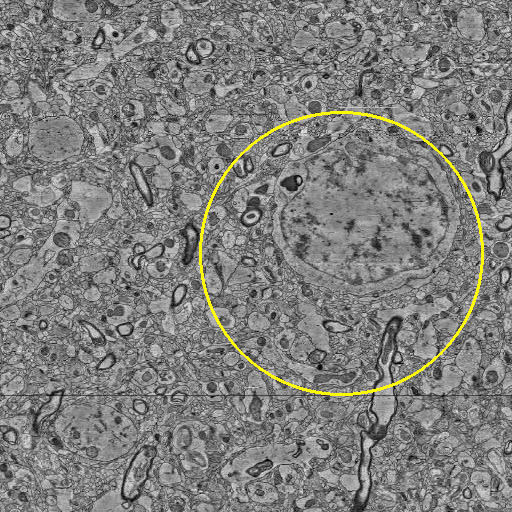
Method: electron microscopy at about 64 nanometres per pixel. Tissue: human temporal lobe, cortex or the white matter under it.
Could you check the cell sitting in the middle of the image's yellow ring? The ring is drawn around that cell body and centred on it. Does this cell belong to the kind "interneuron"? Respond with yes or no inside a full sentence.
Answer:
Yes, this cell in the middle of the yellow ring is one of that kind.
